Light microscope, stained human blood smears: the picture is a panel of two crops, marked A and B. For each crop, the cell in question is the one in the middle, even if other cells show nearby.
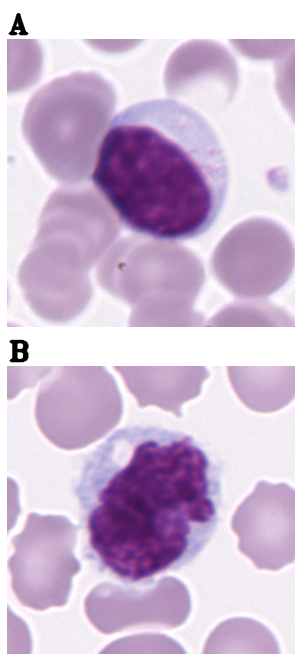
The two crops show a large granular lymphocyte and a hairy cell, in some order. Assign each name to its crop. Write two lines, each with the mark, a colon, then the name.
A: large granular lymphocyte
B: hairy cell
